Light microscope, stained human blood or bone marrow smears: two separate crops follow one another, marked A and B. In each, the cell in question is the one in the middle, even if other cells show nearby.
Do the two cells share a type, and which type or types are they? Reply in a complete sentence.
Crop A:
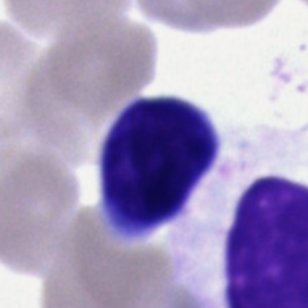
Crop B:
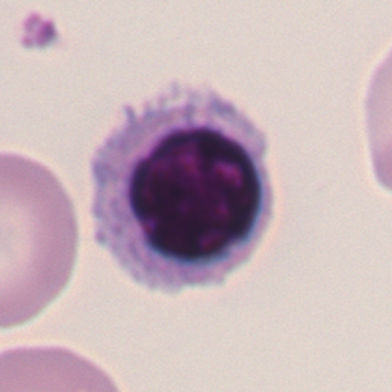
No, just to correct that: crop A shows a lymphocyte, crop B shows a normoblast.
